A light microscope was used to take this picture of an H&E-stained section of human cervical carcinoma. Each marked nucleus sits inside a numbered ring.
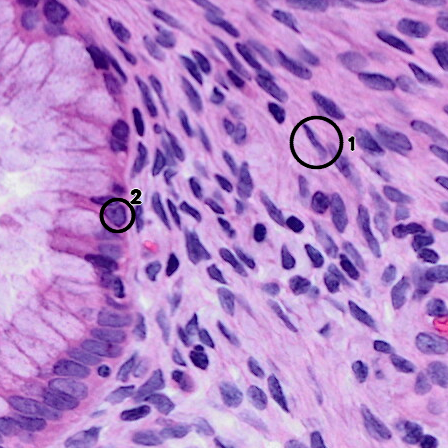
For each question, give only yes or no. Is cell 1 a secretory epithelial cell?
no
